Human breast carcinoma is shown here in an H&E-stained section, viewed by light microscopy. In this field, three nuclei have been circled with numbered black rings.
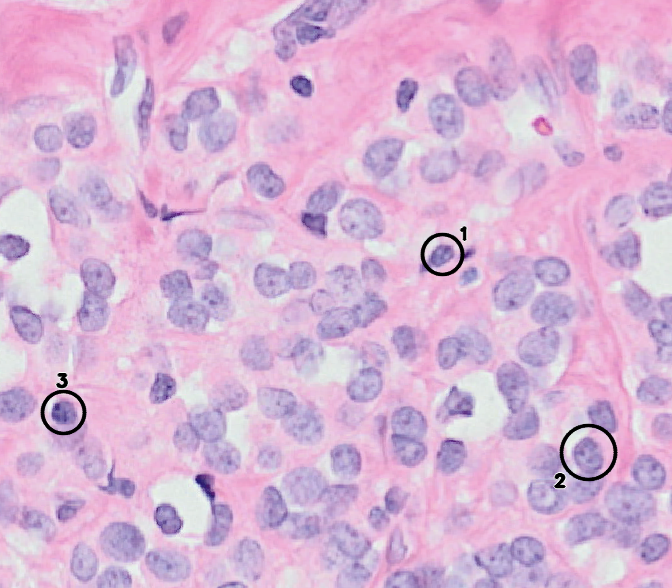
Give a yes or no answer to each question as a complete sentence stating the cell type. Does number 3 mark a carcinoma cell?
No, cell 3 does not represent a carcinoma cell; it represents a lymphocyte.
